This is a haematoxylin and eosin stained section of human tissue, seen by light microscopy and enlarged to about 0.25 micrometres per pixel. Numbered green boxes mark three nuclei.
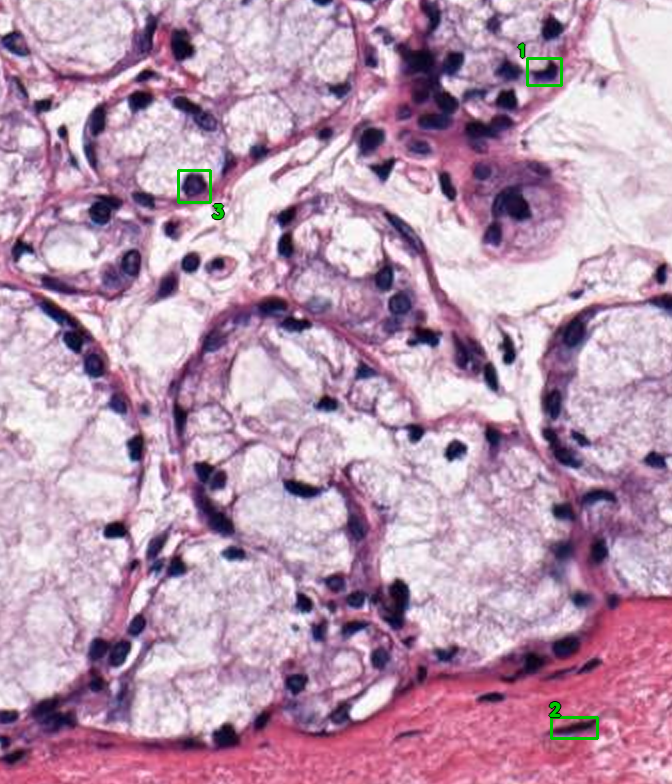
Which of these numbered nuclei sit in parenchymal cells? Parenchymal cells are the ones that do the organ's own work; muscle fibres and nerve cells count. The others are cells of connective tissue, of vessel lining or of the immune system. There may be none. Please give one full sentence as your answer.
Nuclei 1 and 3 belong, each of them, to parenchymal cells.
